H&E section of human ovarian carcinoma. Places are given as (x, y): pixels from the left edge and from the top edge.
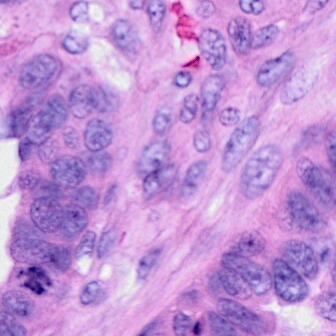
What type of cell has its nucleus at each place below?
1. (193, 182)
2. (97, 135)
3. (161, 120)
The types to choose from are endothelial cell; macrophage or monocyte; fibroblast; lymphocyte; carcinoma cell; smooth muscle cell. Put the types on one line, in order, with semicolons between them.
fibroblast; carcinoma cell; fibroblast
